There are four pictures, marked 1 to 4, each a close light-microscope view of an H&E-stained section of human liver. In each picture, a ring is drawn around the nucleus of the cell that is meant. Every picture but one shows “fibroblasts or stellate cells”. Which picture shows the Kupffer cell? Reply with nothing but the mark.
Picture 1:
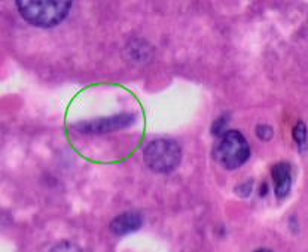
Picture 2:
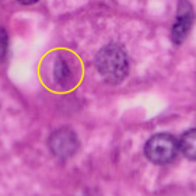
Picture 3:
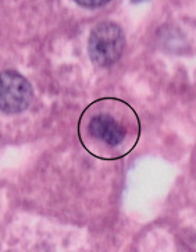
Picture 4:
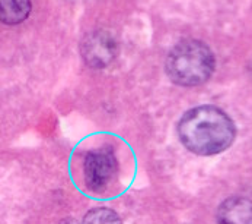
1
